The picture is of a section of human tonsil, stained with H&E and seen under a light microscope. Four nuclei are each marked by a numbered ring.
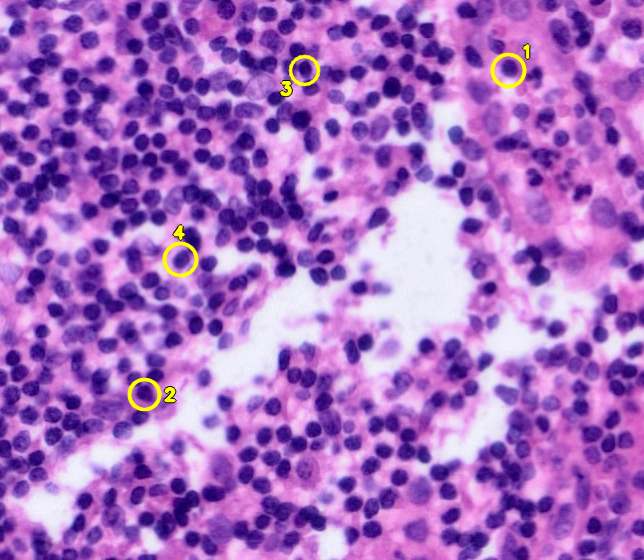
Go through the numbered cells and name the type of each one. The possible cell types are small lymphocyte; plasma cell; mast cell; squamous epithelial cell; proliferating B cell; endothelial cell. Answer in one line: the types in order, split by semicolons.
endothelial cell; small lymphocyte; small lymphocyte; small lymphocyte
